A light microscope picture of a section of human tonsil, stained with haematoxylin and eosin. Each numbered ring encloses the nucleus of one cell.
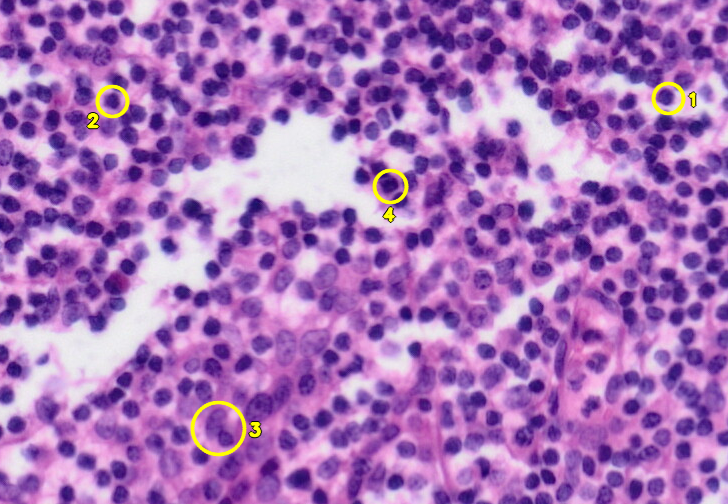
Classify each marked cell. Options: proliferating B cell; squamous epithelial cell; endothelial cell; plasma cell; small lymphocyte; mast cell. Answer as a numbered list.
1. small lymphocyte
2. small lymphocyte
3. squamous epithelial cell
4. small lymphocyte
